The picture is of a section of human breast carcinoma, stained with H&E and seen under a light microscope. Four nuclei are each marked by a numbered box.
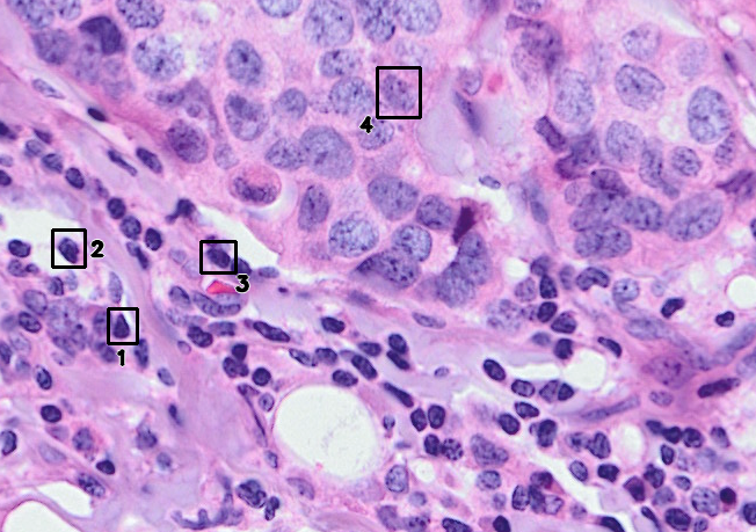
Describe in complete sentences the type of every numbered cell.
Cells 1, 2 and 3 are lymphocytes. Cell 4 is a carcinoma cell.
